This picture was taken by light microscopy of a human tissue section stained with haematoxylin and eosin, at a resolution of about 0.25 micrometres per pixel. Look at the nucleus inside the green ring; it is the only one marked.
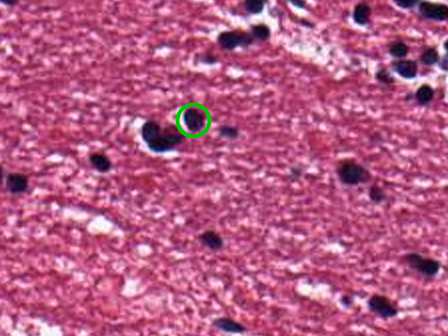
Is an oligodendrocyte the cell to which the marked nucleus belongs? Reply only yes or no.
yes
